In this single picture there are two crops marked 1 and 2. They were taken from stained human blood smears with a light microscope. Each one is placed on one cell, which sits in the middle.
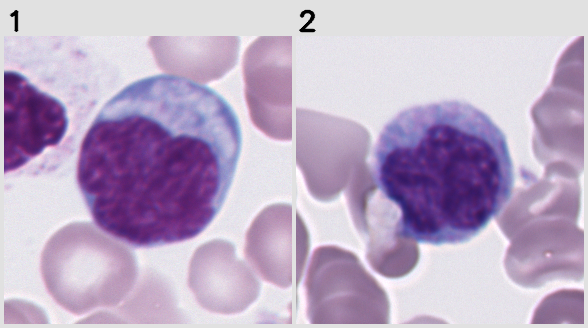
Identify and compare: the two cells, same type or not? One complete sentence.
Yes, monocytes are centred in both crops.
